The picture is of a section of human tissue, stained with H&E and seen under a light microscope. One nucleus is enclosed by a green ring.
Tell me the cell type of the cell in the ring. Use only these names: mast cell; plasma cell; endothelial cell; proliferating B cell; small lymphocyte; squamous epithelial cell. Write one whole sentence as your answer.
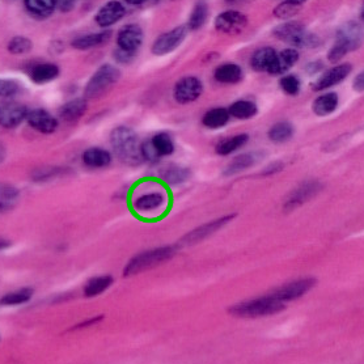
In short, the cell in the ring on this section is a mast cell.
